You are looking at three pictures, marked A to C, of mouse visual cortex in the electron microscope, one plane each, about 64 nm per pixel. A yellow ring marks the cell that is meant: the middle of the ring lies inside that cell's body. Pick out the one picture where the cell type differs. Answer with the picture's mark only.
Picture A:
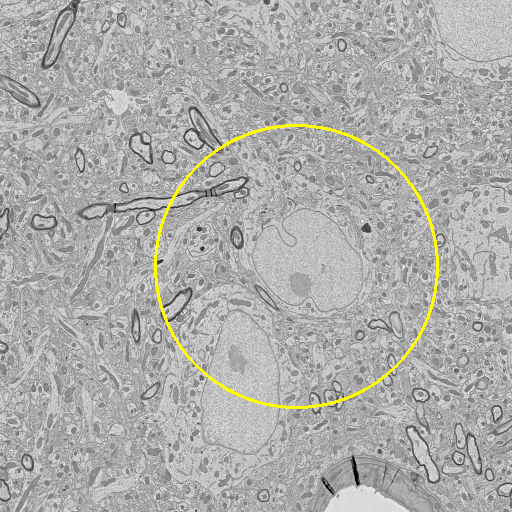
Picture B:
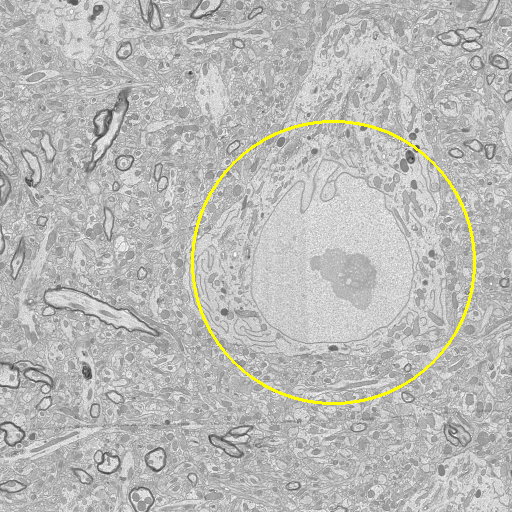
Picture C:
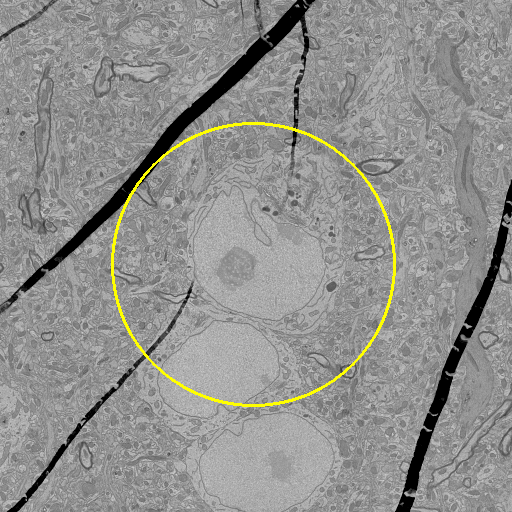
C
